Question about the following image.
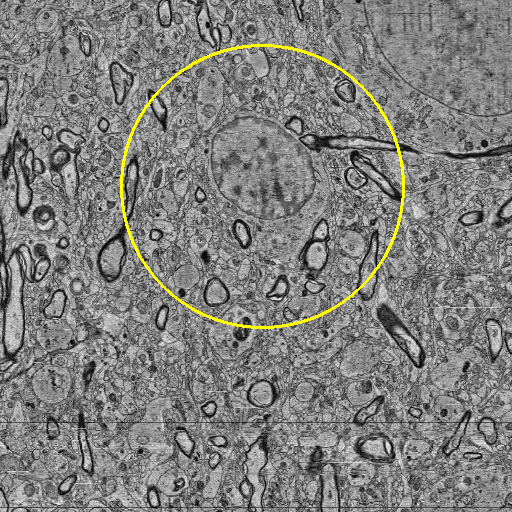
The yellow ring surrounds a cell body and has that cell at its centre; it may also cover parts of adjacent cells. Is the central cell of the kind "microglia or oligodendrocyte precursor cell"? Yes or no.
No, it is of another kind.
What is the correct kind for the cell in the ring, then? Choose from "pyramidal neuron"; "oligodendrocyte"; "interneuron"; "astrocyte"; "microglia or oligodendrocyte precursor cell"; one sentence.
Instead, the picture shows an oligodendrocyte at the centre of the ring.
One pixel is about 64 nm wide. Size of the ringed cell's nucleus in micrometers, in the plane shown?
Roughly 7 by 6 micrometres is the size of the nucleus in this plane.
